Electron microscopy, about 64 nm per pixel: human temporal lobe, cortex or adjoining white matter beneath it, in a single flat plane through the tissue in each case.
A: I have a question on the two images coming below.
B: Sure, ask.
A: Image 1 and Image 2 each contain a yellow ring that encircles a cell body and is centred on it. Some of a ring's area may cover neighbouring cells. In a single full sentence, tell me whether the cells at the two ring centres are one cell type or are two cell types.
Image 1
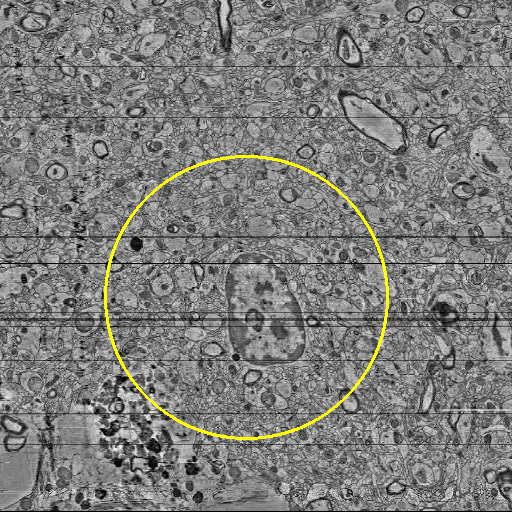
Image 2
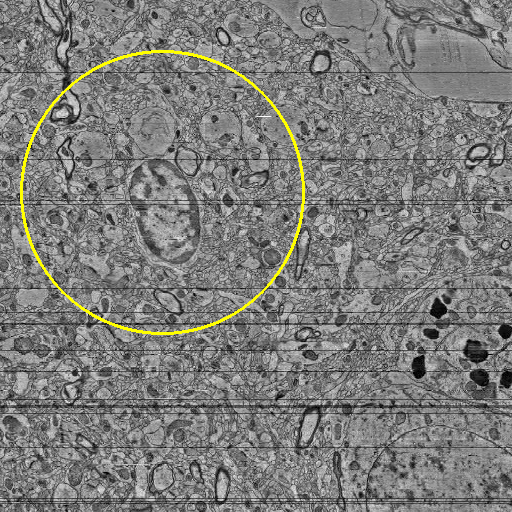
As for the ring-centre cells, the one in Image 1 and the one in Image 2 are one cell type.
